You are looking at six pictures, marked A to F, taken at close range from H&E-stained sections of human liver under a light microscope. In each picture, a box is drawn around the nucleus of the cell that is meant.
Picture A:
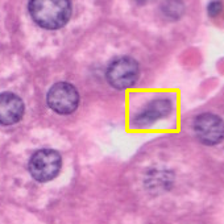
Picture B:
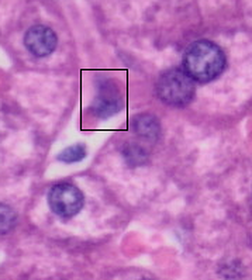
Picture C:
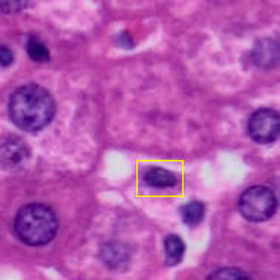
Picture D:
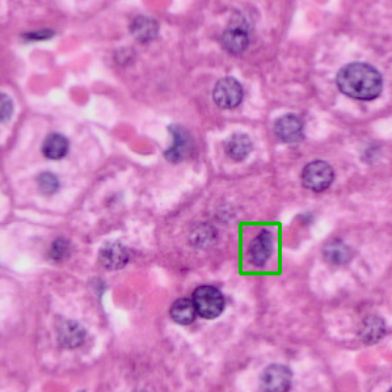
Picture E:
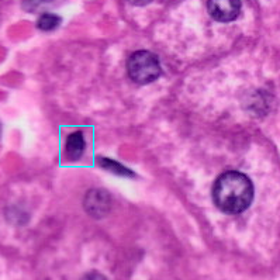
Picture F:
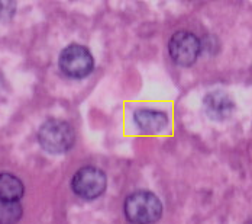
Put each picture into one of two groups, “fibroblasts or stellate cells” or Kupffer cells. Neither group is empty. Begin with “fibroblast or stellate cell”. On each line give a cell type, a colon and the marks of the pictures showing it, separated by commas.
fibroblast or stellate cell: D, E
Kupffer cell: A, B, C, F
